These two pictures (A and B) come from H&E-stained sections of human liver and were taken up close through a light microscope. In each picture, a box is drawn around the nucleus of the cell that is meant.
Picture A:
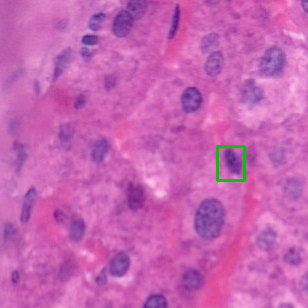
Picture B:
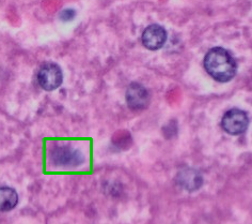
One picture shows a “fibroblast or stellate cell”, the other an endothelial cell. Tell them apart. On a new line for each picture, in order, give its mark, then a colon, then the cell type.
A: fibroblast or stellate cell
B: endothelial cell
